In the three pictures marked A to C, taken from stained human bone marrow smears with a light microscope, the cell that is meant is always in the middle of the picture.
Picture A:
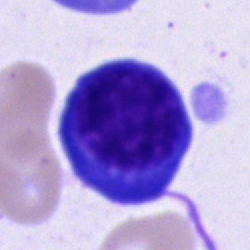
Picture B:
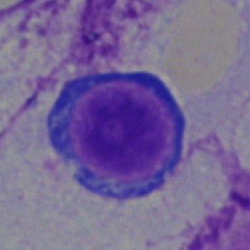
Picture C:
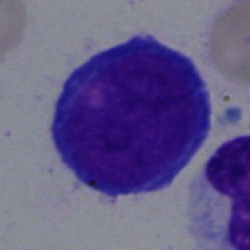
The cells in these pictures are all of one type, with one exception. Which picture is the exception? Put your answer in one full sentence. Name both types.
The others show proerythroblasts, but picture A shows a plasma cell.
